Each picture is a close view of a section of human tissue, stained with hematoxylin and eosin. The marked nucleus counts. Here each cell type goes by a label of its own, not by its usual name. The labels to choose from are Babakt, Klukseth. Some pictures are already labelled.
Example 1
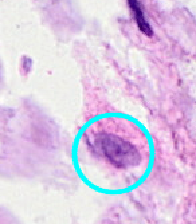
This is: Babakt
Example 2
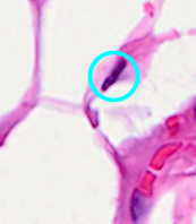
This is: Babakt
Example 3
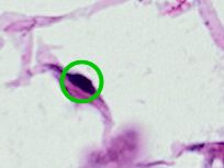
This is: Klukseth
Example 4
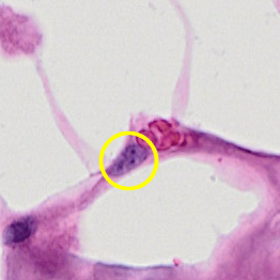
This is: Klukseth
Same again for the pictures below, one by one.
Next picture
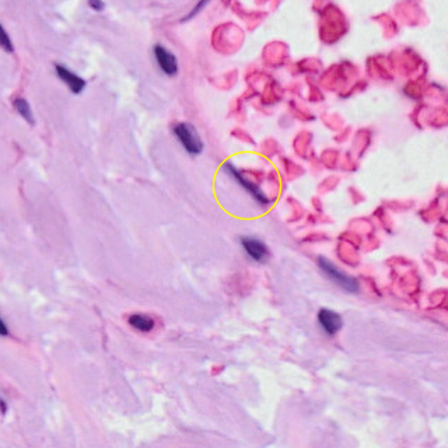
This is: Klukseth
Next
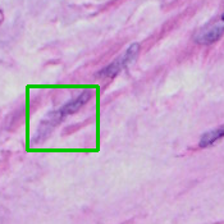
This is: Babakt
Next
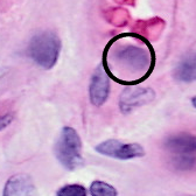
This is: Klukseth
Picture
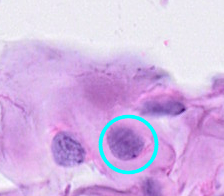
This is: Babakt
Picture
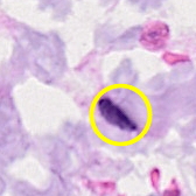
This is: Babakt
